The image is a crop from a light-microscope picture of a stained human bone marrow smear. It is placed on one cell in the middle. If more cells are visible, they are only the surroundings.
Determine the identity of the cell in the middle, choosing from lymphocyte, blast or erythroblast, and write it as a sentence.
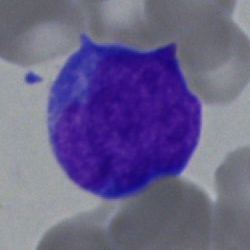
This crop has a blast at its centre.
